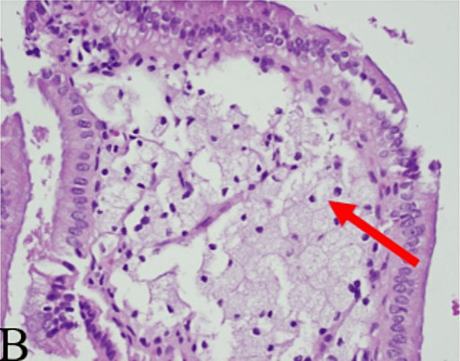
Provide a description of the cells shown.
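Gallbladder mucosa showing a fold lined by a single layer of tall columnar epithelial cells with basal, oval, purple nuclei. The core of the fold, beneath the epithelium, is packed with large pale cells whose cytoplasm is finely vacuolated and bubbly. These foamy macrophages have small, round, dark nuclei and lie in clusters, crowding the loose connective tissue. A few slender spindle-shaped nuclei lie among them. Clear spaces separate some of the pale cell groups from the overlying epithelium.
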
